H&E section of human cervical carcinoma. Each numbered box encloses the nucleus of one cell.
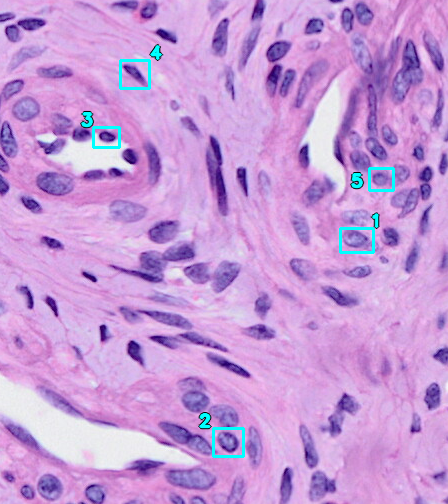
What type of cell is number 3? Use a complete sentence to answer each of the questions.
Looking at the numbered marks, cell 3 is an endothelial cell.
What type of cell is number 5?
The cell marked with the number 5 is a smooth muscle cell.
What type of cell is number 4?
The cell indicated with the number 4 is classed as a fibroblast.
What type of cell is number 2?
Belonging to a smooth muscle cell is the nucleus that carries the number 2.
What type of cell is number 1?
Cell 1 in the field is a smooth muscle cell.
